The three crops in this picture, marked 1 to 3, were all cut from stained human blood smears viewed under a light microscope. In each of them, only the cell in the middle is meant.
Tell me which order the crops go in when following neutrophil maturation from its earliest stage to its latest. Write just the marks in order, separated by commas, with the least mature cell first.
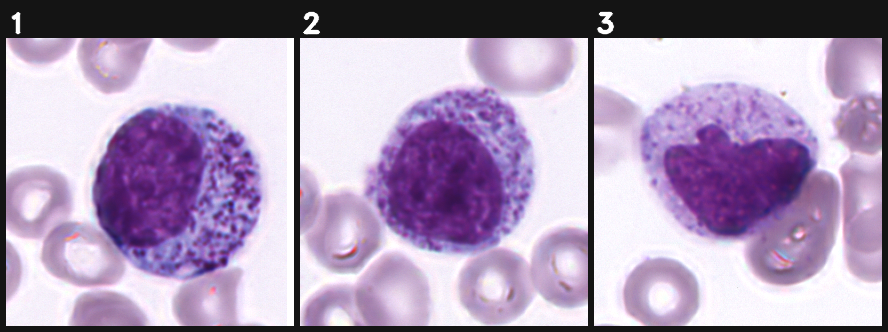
1, 2, 3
